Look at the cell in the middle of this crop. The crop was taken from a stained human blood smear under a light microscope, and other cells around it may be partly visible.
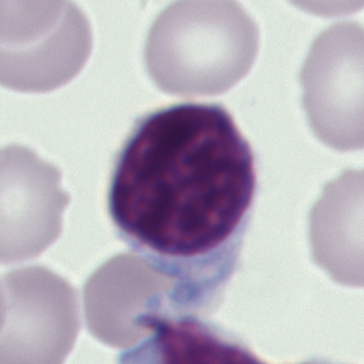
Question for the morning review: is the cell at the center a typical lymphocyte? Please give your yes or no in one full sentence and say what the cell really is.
Yes, at the centre of the crop lies a typical lymphocyte.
